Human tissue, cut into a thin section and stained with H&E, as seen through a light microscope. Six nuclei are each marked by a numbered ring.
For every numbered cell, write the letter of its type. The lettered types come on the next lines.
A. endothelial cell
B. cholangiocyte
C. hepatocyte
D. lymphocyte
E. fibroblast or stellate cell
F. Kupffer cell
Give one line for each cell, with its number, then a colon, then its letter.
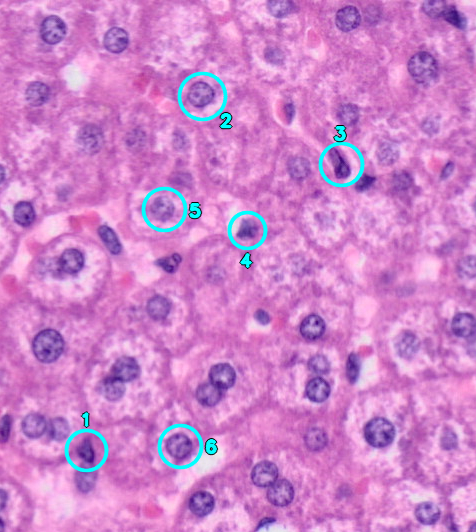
1: E
2: C
3: F
4: A
5: C
6: C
